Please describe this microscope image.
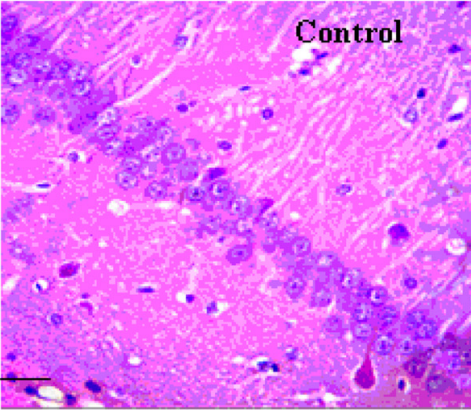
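This is the pyramidal cell layer of the hippocampus, a band of neurons a few cells deep running diagonally through pink neuropil. The neuronal cell bodies are plump and rounded, with pale lilac cytoplasm and large round pale nuclei, each with a single dark, well defined nucleolus. The cells sit closely side by side in an orderly row. On either side lies finely fibrillar pink neuropil with scattered small dark glial nuclei and a few small vessels.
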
